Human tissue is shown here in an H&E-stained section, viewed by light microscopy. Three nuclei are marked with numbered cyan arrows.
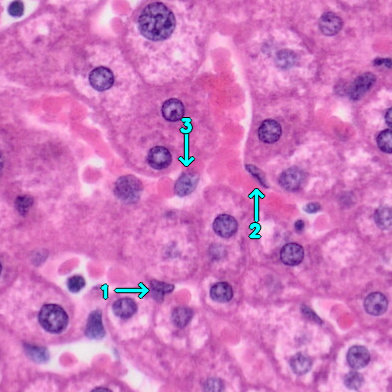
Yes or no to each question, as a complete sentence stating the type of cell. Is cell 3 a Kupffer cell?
Yes, the cell carrying number 3 is a Kupffer cell.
